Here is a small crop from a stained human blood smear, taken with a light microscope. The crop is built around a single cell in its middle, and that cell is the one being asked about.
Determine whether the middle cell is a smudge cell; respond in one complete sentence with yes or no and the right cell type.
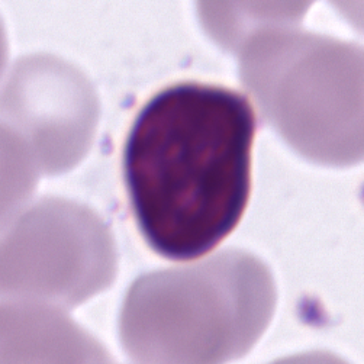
Yes, the crop is centred on a smudge cell.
